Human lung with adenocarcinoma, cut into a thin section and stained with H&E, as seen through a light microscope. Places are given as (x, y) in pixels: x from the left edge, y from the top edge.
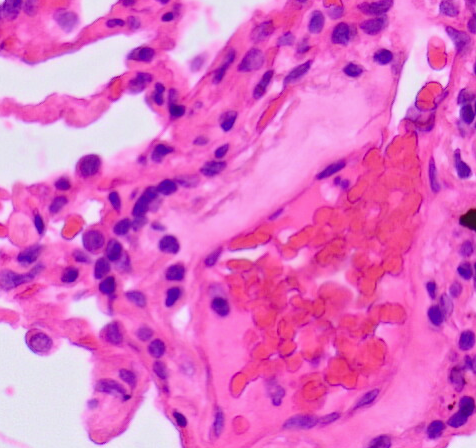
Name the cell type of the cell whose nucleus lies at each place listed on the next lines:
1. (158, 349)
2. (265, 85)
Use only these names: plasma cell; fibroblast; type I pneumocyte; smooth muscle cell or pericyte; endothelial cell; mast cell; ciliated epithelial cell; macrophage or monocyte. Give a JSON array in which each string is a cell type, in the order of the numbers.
["mast cell", "endothelial cell"]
